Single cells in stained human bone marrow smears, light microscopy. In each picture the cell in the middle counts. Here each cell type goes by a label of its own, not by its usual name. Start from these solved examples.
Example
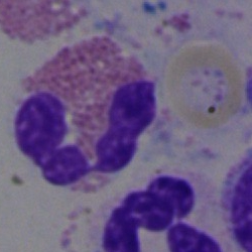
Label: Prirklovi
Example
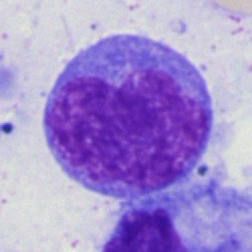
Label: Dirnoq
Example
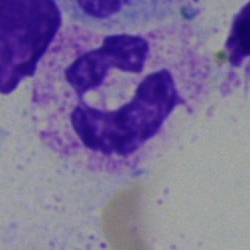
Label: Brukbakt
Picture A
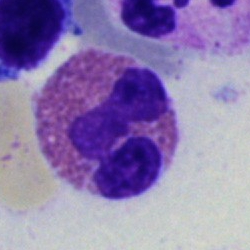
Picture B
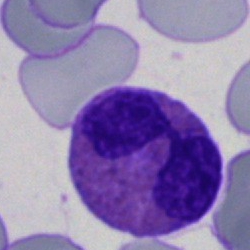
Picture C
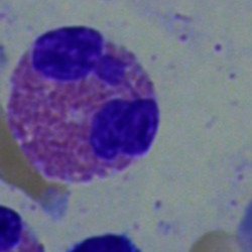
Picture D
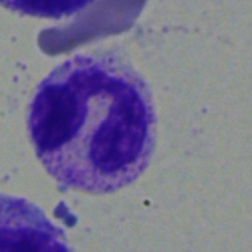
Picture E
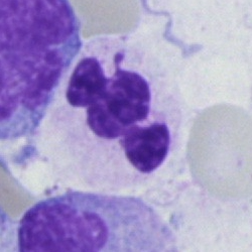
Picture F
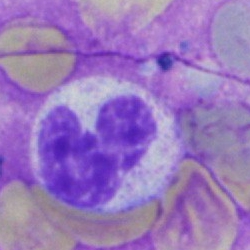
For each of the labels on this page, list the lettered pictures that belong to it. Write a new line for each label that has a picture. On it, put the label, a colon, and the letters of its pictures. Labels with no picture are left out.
Prirklovi: A, B, C
Brukbakt: D, E, F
